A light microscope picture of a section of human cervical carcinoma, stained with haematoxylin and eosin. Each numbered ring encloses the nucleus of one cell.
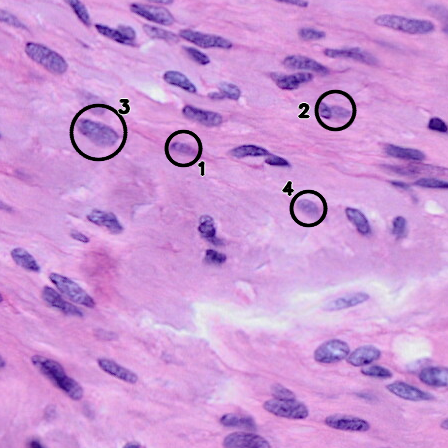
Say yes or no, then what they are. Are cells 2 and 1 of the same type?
No, just to clarify, cell 2 is a fibroblast and cell 1 is a smooth muscle cell.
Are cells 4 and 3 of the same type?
Yes, that is correct, cells 4 and 3 are both fibroblasts.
